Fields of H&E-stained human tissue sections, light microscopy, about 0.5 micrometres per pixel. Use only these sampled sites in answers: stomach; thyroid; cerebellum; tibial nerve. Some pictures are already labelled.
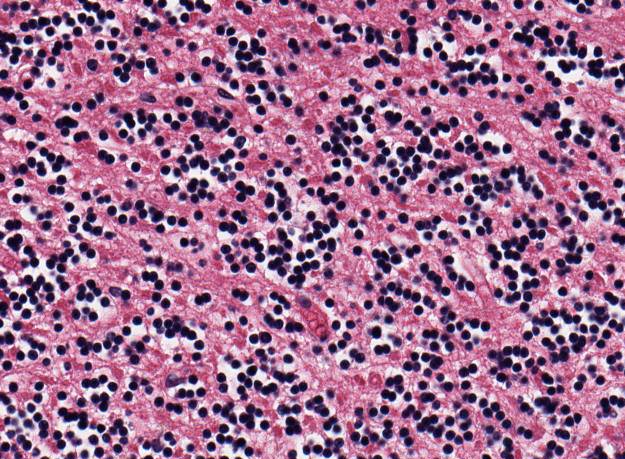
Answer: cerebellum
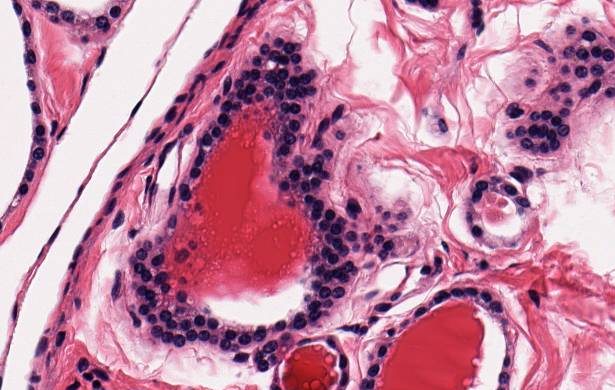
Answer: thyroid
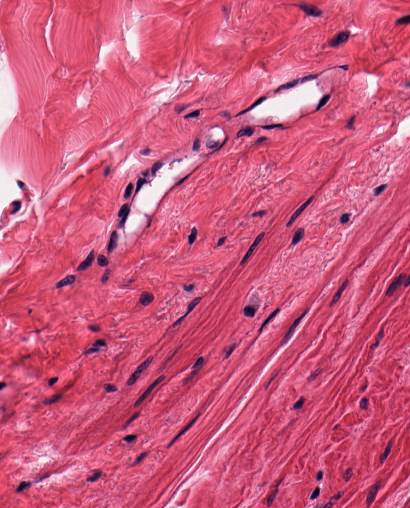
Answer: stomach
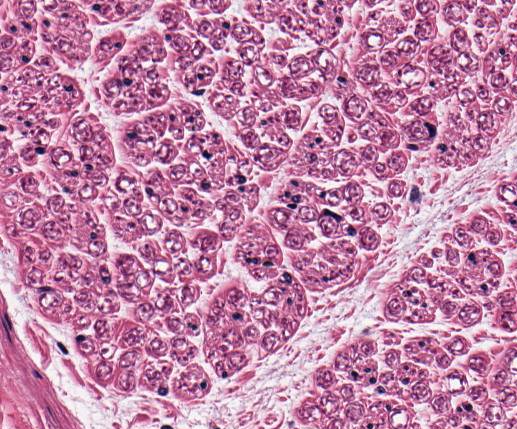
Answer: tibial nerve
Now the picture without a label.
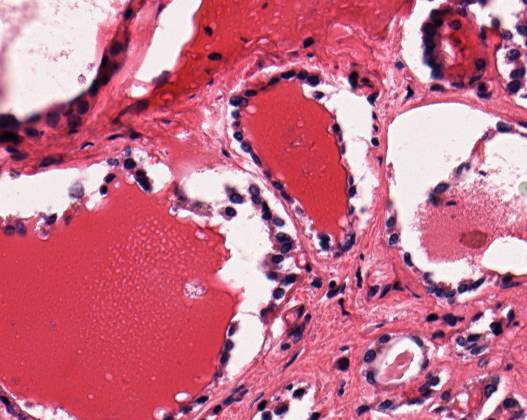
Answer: thyroid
